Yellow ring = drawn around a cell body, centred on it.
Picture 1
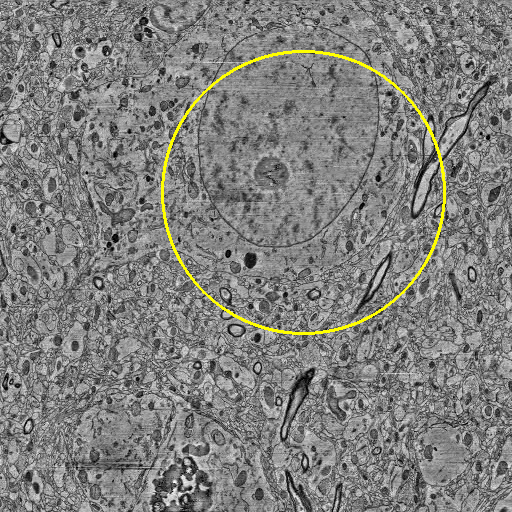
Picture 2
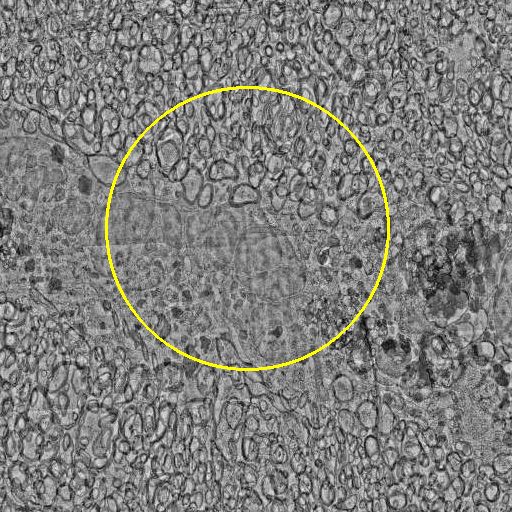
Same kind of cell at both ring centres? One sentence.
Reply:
No, they are two kinds of cell.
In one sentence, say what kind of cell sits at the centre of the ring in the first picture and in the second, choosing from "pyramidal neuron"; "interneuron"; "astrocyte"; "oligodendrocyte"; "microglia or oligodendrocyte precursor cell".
The first picture's ringed cell is a pyramidal neuron, while the second picture's is an oligodendrocyte.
